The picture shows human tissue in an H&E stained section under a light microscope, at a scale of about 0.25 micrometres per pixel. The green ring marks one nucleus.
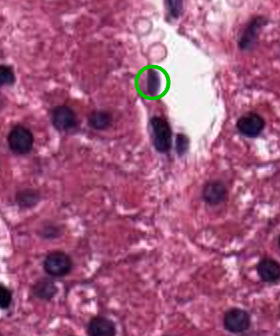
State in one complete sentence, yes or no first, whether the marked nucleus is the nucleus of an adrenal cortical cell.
No, the marked nucleus sits in a supporting cell; an adrenal cortical cell does not contain it.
